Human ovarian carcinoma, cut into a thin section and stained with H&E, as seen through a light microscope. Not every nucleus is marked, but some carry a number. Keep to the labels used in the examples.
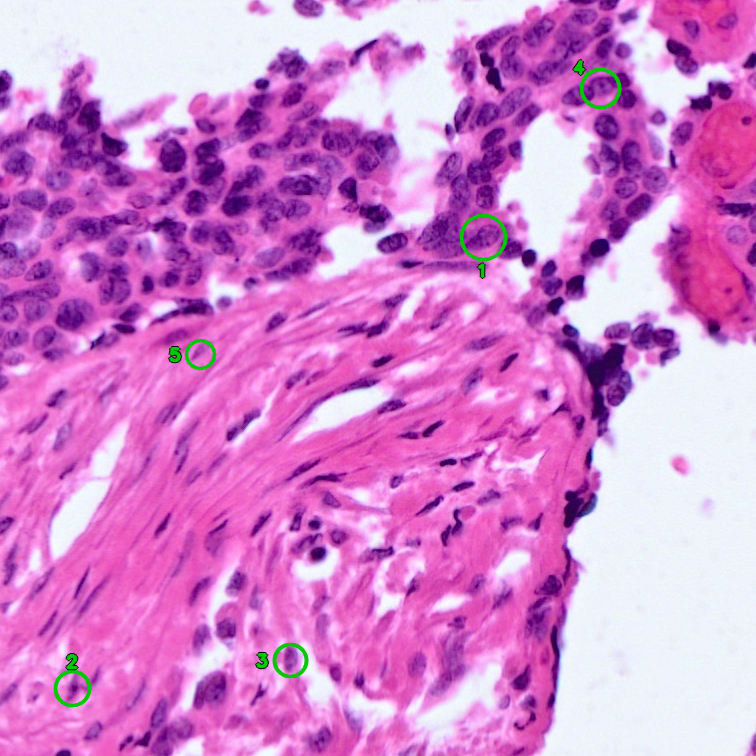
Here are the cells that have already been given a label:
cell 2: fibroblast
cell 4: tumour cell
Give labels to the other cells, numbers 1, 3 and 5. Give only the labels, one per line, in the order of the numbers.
tumour cell
fibroblast
fibroblast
